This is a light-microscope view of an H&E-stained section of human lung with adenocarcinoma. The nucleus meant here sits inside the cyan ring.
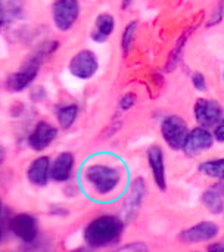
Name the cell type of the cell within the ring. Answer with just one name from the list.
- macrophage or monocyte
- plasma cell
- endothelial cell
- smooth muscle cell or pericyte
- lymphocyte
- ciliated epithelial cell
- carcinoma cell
lymphocyte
